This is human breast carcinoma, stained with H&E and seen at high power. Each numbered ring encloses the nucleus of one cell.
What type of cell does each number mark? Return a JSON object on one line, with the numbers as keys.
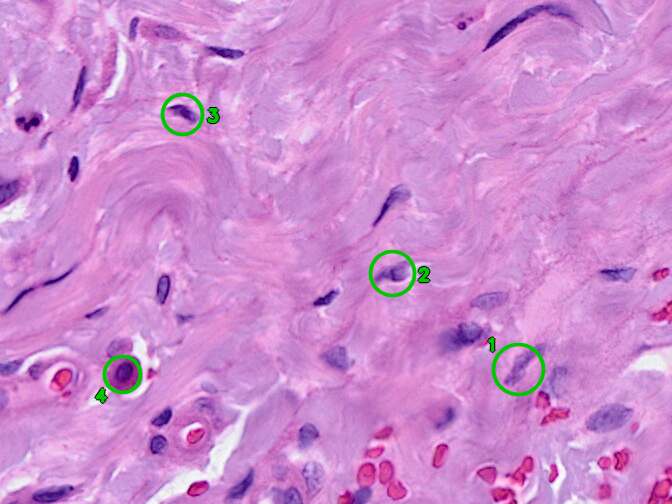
{"1": "fibroblast", "2": "fibroblast", "3": "fibroblast", "4": "mast cell"}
